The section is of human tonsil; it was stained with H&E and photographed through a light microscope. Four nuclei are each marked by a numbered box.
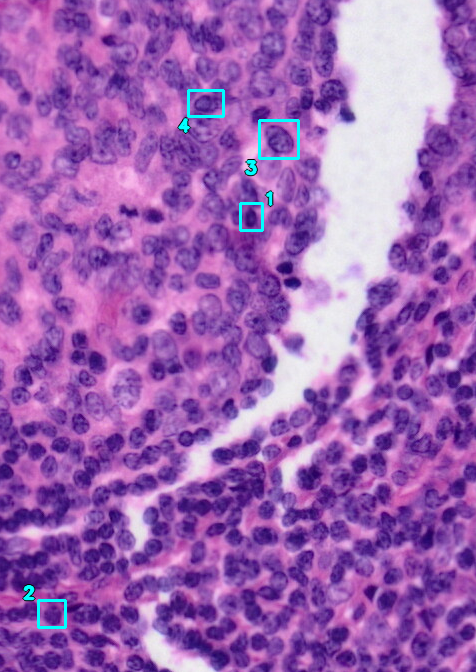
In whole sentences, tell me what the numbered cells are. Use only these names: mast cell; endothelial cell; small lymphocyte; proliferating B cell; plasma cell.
Cells 1, 3 and 4 are proliferating B cells. Cell 2 is a small lymphocyte.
